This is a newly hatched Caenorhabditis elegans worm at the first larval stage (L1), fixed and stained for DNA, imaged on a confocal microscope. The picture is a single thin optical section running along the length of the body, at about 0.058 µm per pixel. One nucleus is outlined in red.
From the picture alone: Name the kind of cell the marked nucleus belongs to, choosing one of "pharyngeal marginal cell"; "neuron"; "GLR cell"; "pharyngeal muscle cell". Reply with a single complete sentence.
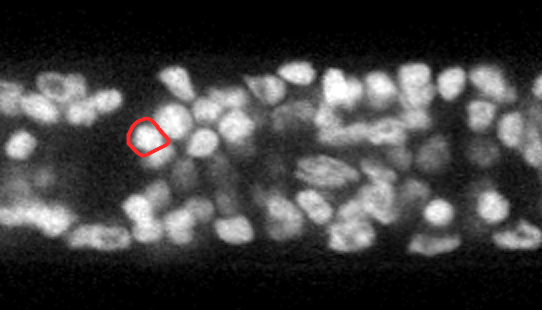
This nucleus is from a GLR cell.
